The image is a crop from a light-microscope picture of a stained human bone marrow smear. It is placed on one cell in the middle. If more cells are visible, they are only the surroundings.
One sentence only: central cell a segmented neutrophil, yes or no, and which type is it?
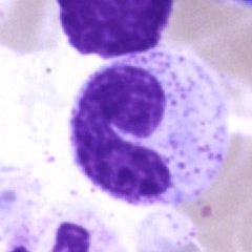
No, that is not a segmented neutrophil; the middle cell is a band neutrophil.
